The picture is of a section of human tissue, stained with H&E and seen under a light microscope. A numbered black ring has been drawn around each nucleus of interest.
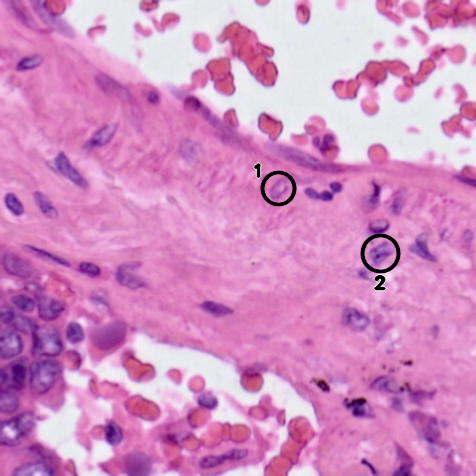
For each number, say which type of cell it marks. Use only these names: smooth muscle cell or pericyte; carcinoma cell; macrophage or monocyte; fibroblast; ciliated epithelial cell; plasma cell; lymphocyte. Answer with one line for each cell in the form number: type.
1: smooth muscle cell or pericyte
2: fibroblast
